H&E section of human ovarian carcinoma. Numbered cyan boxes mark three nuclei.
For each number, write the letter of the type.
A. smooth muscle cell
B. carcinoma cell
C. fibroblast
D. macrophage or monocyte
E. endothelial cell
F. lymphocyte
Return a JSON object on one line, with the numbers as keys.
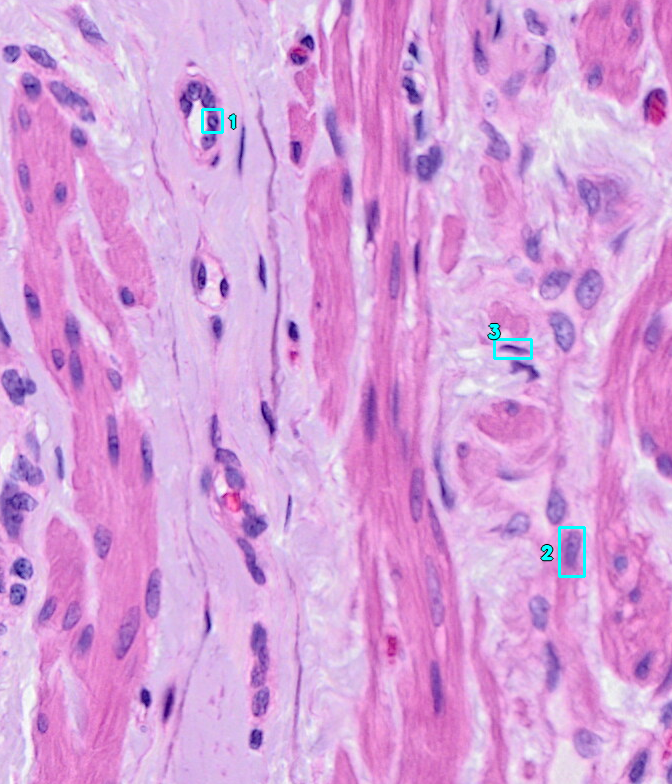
{"1": "E", "2": "A", "3": "C"}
